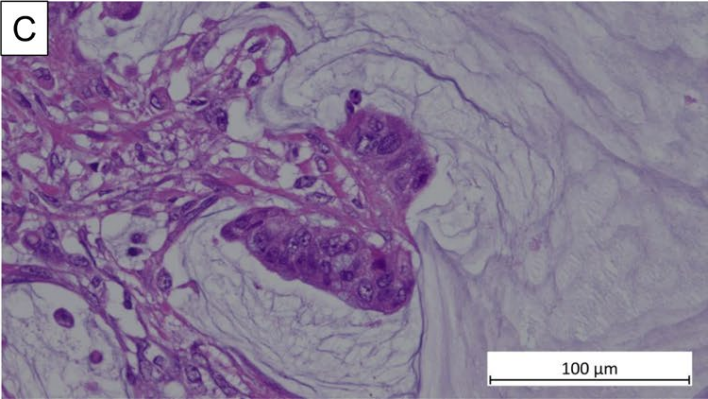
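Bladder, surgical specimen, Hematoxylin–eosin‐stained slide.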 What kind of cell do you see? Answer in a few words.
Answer: Atypical columnar cells of irregular size with large nuclei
